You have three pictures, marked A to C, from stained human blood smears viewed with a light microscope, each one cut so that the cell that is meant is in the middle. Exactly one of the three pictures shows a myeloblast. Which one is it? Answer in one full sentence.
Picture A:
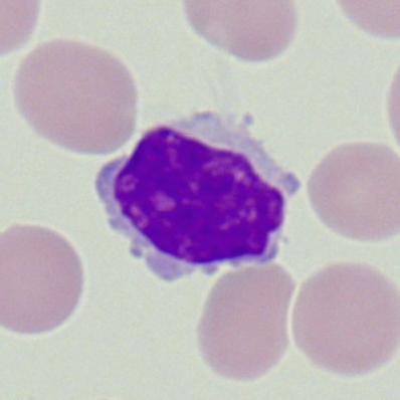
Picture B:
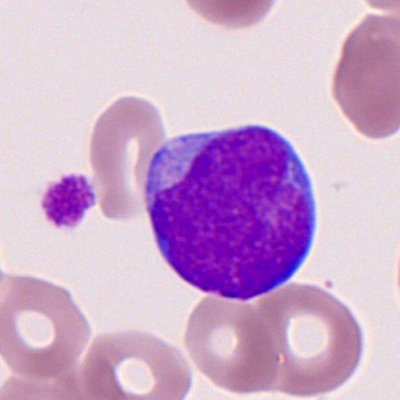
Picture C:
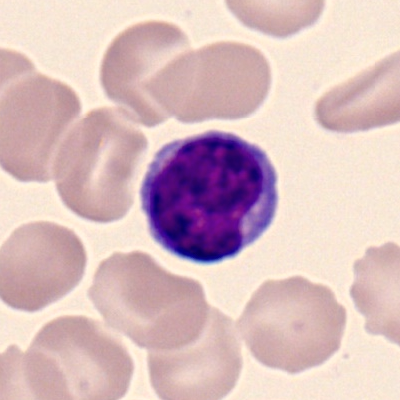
It is picture B that shows the myeloblast.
